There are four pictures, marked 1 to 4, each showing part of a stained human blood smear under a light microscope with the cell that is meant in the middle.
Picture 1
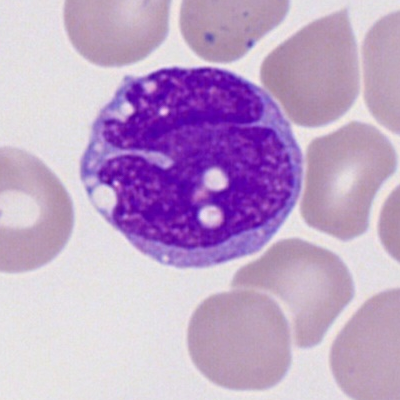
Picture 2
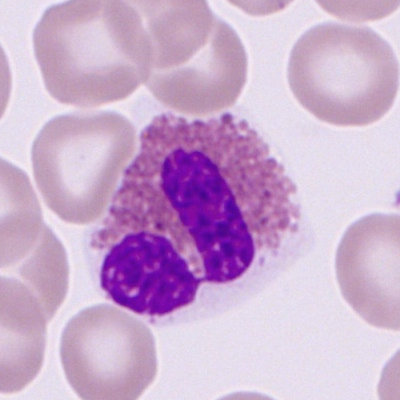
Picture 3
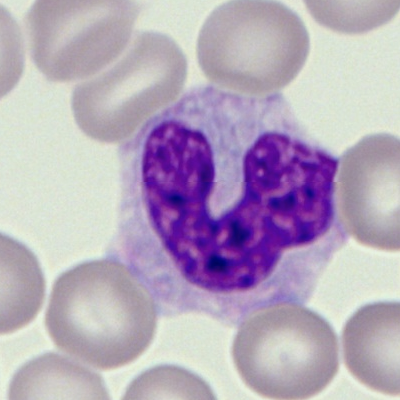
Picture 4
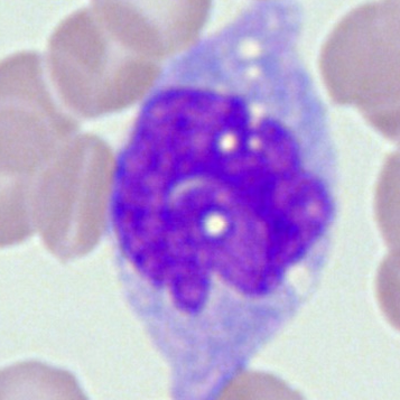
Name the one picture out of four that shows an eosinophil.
2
